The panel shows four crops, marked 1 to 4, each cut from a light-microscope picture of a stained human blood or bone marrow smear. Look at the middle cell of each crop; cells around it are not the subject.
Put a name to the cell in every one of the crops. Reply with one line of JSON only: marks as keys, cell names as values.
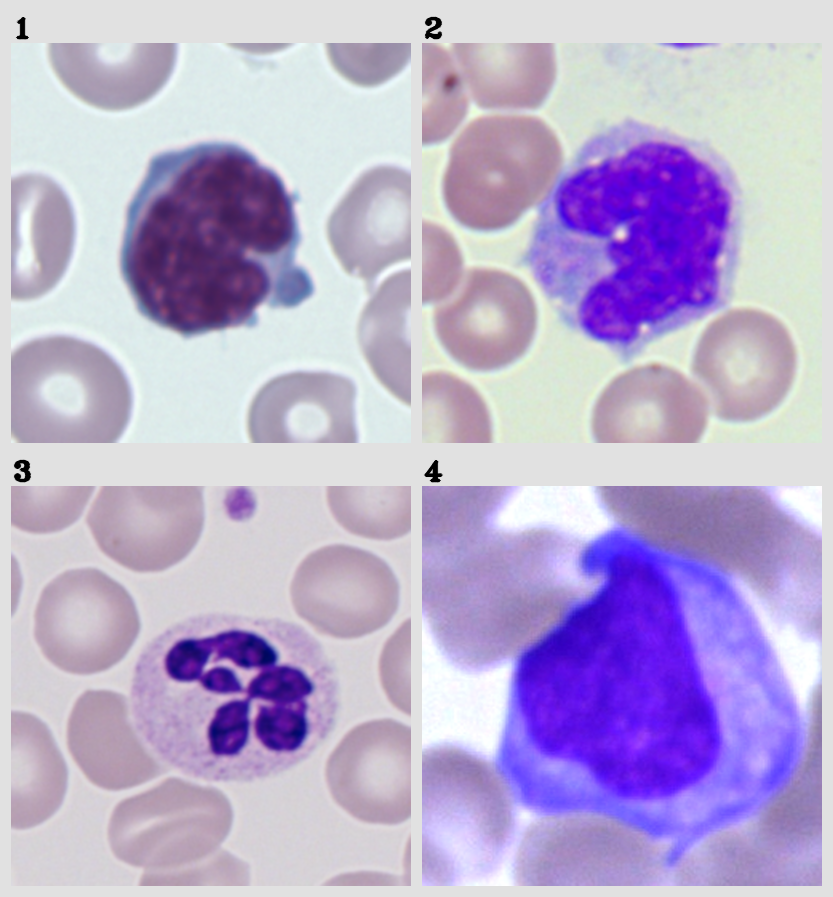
{"1": "blast", "2": "monocyte", "3": "segmented neutrophil", "4": "monocyte"}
